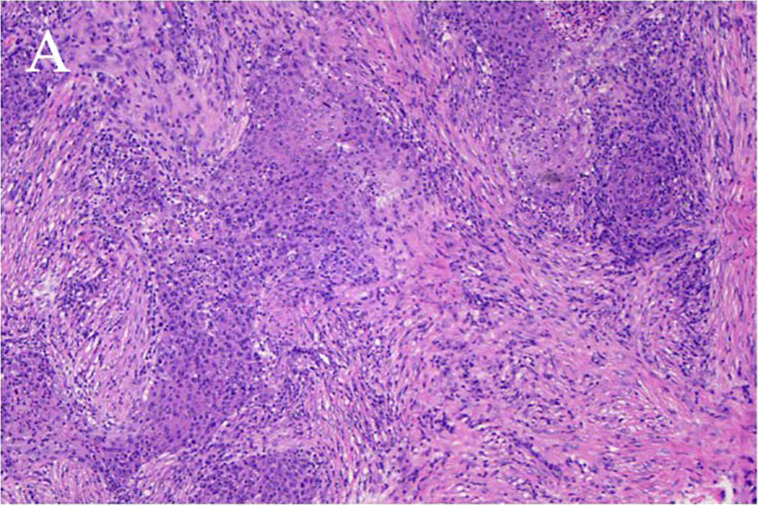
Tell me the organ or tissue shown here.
Islands of tumor cells separated by fibrous bands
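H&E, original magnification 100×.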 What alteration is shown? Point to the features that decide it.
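Syncytial-like appearance. Within the nests, cell borders are not distinct. Nuclei lie in a shared pale pink cytoplasm.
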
